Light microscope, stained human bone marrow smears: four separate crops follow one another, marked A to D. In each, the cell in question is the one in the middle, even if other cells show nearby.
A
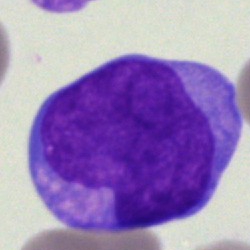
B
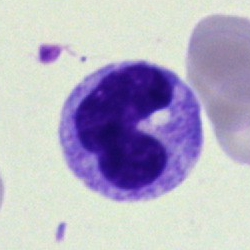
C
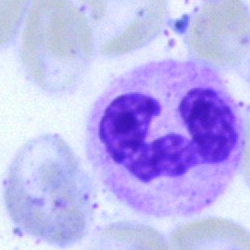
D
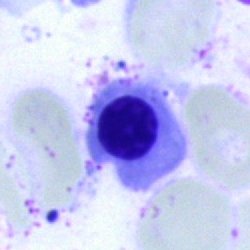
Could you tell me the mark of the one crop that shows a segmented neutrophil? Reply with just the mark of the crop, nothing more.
C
